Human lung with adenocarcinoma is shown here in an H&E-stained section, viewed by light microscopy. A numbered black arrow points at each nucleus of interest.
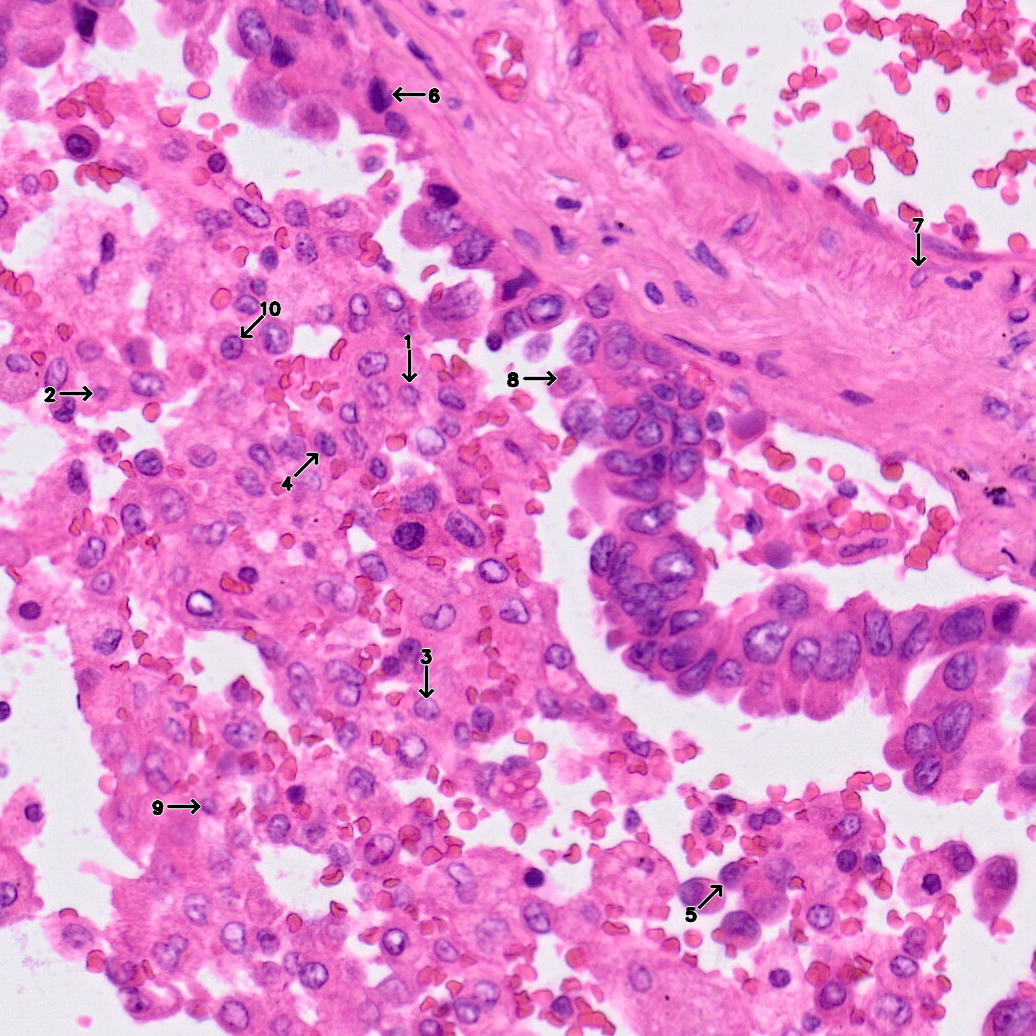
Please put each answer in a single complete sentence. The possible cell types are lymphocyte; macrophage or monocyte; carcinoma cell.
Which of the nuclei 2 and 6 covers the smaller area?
The smaller nucleus is 2, and 6 covers roughly 4 times its area.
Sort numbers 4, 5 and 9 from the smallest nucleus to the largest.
Smallest first, the nuclei run 9, 4, 5.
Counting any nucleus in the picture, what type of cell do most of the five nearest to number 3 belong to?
The majority of the five nuclei closest to number 3 belong to macrophages or monocytes.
